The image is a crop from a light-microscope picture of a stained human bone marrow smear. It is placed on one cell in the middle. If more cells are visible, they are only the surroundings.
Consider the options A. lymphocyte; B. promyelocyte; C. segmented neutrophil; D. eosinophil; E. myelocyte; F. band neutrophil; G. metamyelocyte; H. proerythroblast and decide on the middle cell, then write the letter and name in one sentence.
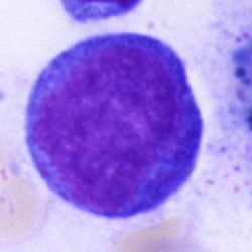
Answer key: option H, the middle cell being a proerythroblast.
